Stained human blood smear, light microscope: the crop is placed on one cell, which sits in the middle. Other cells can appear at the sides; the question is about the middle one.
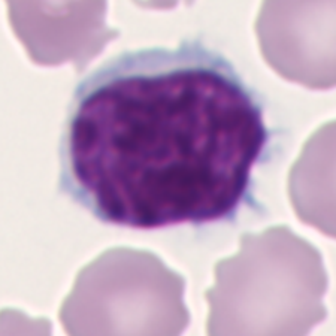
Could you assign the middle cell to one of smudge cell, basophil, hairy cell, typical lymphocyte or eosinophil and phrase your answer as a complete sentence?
The cell of interest, in the center, is a hairy cell.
